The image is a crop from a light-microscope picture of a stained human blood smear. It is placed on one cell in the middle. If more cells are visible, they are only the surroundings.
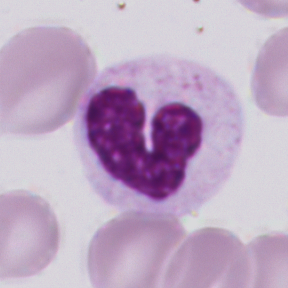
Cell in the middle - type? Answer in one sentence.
The central cell in this smear crop is a band neutrophil.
